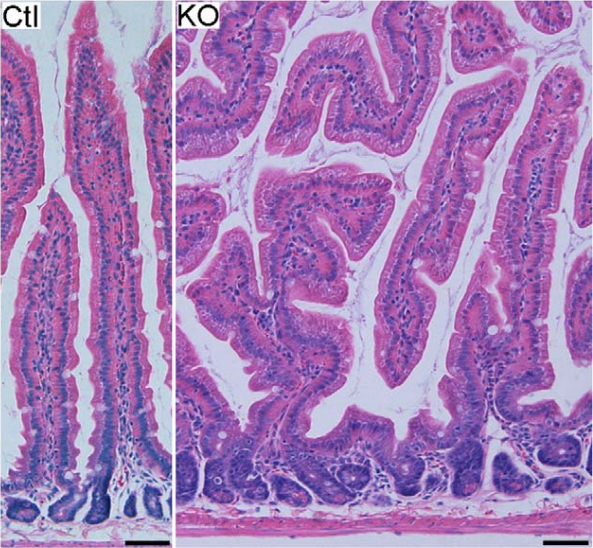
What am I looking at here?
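This is small intestinal mucosa in cross-section, showing villi above a row of crypts that sits on a thin pink muscle layer. In the left image the villi are tall, slender and finger-like. Each is covered by a single layer of columnar epithelium with pink cytoplasm and purple nuclei, around a narrow core of lamina propria. In the right image the villi are irregular. They are broad, folded and branched, and their epithelial lining runs in convoluted loops. In both images the crypts appear at the base as small, densely purple glandular profiles.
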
